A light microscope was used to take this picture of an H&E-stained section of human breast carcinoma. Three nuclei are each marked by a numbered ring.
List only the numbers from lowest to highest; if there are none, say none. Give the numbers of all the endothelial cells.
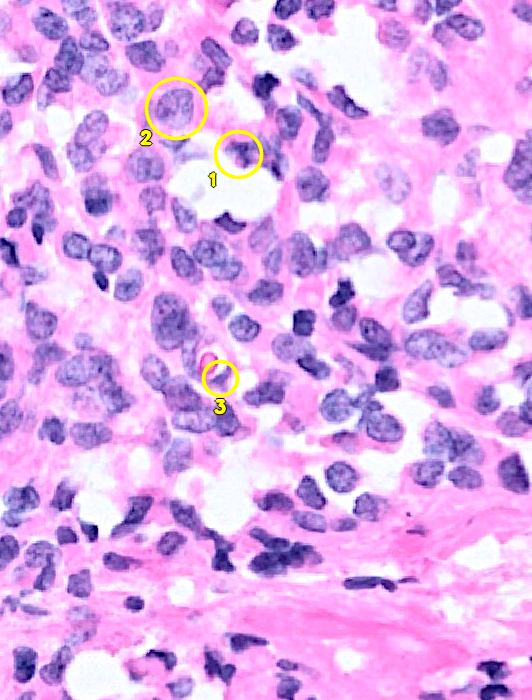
3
